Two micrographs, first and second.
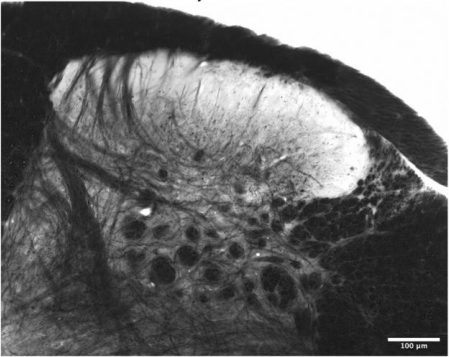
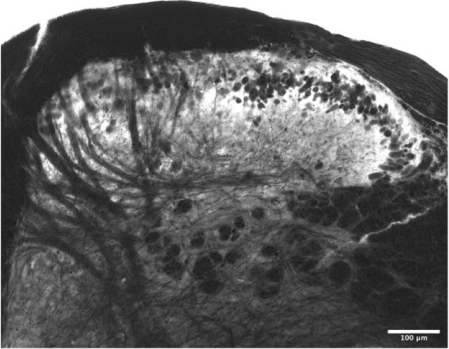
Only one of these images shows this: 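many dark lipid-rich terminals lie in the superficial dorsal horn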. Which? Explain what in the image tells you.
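Second image: numerous dark rounded dots form a band along the outer edge of the pale grey matter. First image: the pale superficial band is largely free of such dark dots. So: the second image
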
